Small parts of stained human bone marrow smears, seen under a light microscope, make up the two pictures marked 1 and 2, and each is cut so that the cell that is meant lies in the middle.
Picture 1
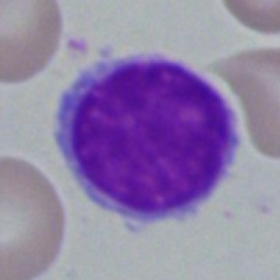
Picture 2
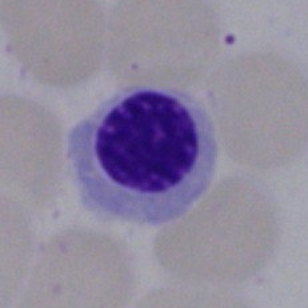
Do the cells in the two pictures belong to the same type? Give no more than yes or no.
no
